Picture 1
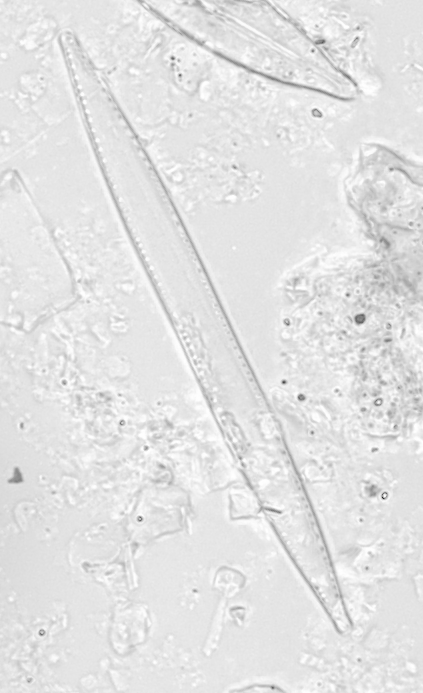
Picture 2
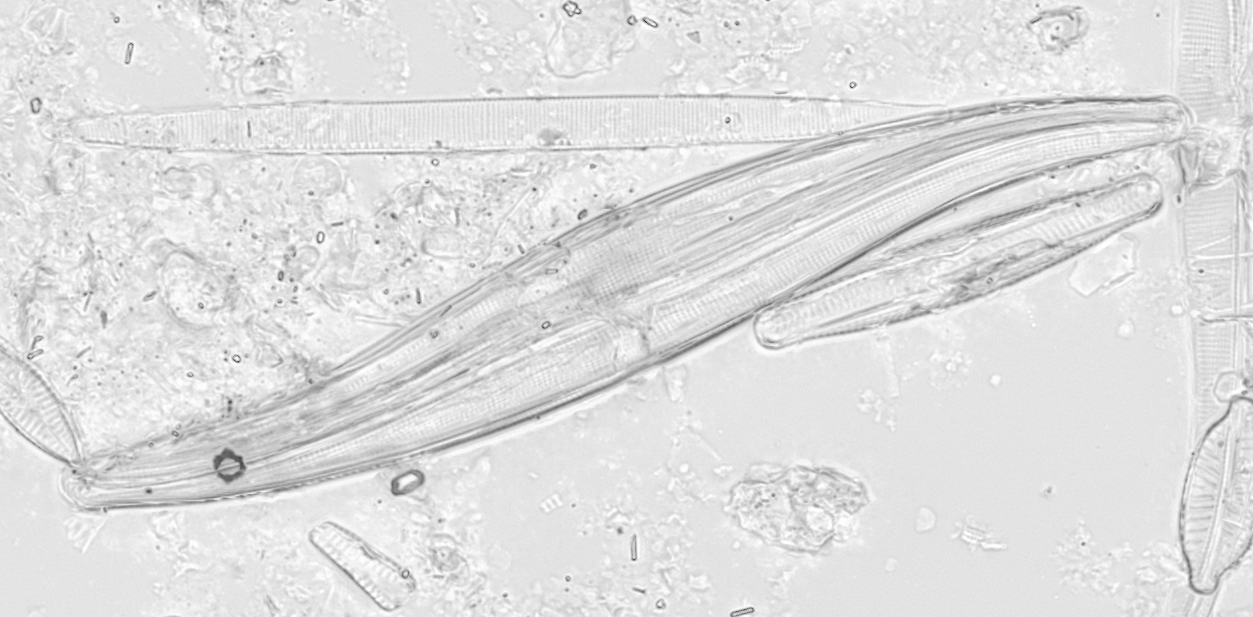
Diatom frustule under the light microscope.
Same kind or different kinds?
Different: the first is Nitzschia, the second Gyrosigma.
